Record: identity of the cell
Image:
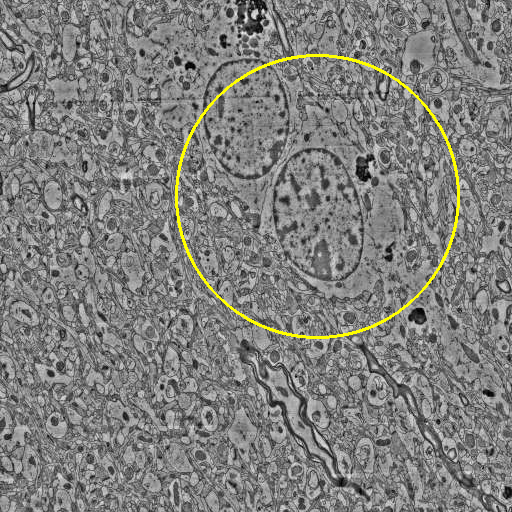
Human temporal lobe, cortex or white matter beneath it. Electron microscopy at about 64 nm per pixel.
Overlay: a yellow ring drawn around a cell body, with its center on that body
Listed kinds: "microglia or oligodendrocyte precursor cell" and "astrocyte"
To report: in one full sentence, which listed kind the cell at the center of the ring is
In the image, the cell body at the ring's center belongs to an astrocyte.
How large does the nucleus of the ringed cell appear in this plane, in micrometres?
In this plane the nucleus is roughly 9 by 6 micrometres, clearly longer than it is wide.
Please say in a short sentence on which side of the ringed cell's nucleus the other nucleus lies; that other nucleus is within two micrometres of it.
The second nucleus lies to the upper left of it.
